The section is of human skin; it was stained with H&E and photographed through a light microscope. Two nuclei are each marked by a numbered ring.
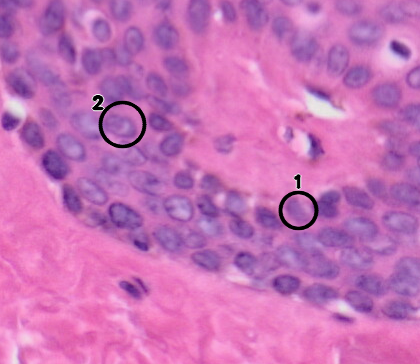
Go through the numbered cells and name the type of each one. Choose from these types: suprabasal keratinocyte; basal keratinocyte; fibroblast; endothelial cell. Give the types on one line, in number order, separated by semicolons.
basal keratinocyte; suprabasal keratinocyte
